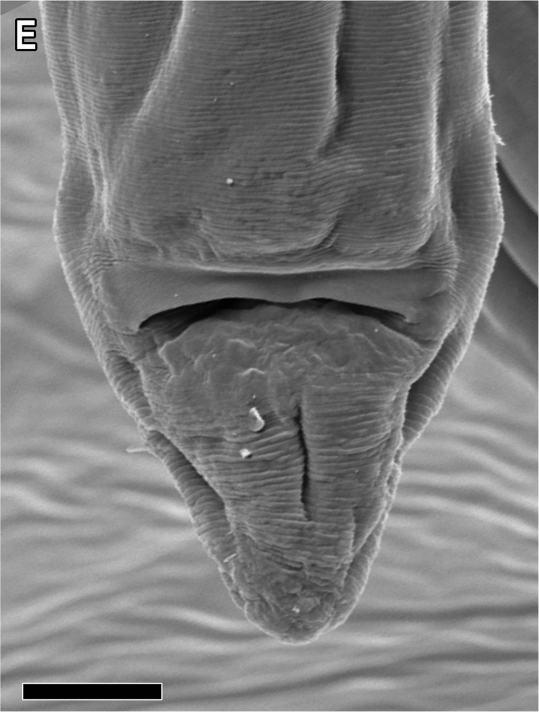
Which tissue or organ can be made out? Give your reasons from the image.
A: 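Tail end. The body tapers to a conical, rounded tip. A transverse slit-like opening crosses the body above the tapering part. The cuticle is finely ringed.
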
